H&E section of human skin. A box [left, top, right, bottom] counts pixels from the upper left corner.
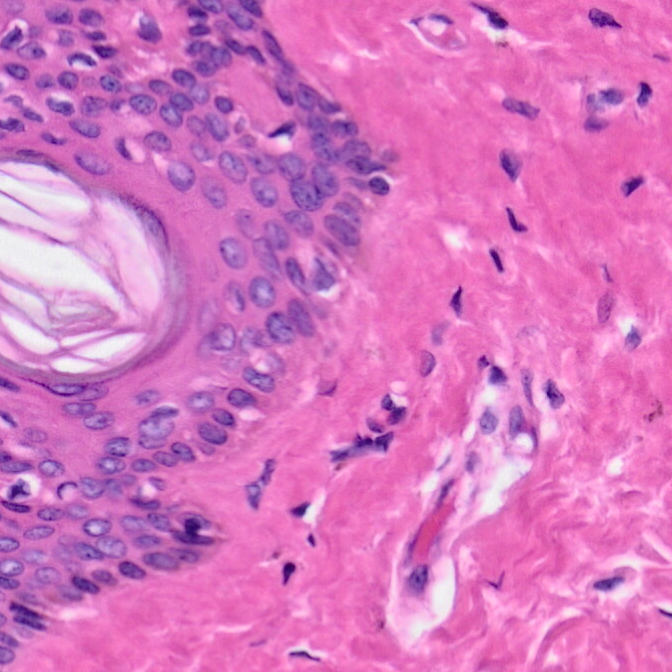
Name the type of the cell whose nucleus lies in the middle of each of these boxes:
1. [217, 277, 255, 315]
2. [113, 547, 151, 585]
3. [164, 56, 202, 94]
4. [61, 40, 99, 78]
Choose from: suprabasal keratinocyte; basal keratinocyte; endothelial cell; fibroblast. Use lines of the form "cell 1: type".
cell 1: suprabasal keratinocyte
cell 2: basal keratinocyte
cell 3: basal keratinocyte
cell 4: basal keratinocyte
